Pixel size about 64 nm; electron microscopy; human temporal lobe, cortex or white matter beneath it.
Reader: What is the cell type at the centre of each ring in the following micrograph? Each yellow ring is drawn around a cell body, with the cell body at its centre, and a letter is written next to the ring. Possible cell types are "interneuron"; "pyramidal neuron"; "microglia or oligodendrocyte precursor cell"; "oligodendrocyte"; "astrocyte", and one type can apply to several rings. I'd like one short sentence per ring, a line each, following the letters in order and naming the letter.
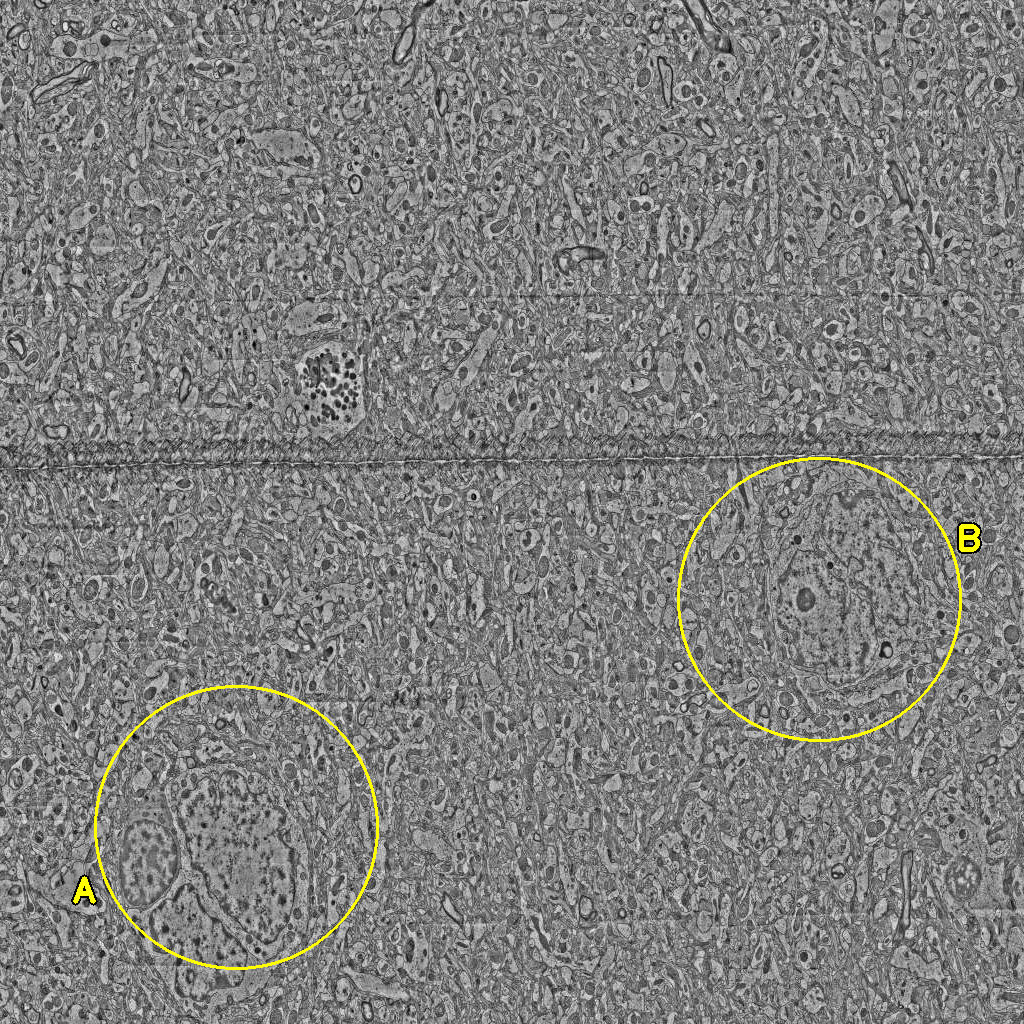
The cell body at the centre of ring A is that of an interneuron.
The cell body at the centre of ring B is that of an interneuron.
